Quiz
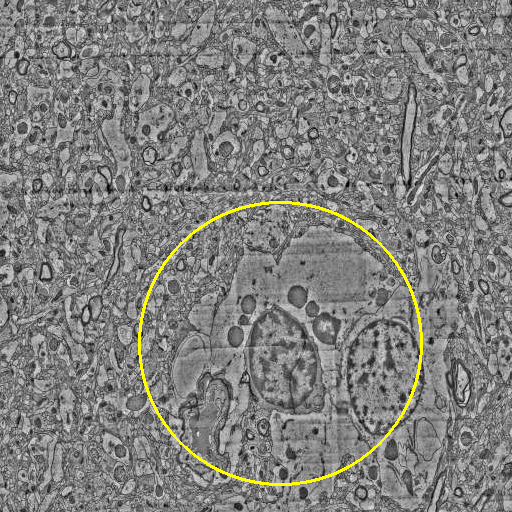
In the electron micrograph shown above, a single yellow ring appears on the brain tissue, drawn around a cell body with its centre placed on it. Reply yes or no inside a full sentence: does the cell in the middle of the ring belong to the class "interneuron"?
No, the cell at the centre of the ring in the picture belongs to a different class.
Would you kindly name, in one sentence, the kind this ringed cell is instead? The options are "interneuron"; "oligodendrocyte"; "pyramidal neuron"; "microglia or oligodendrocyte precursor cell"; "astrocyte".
The cell circled by the yellow ring is an oligodendrocyte.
